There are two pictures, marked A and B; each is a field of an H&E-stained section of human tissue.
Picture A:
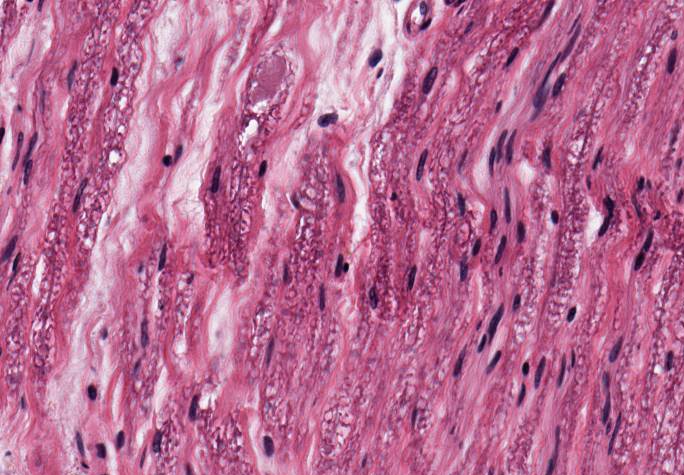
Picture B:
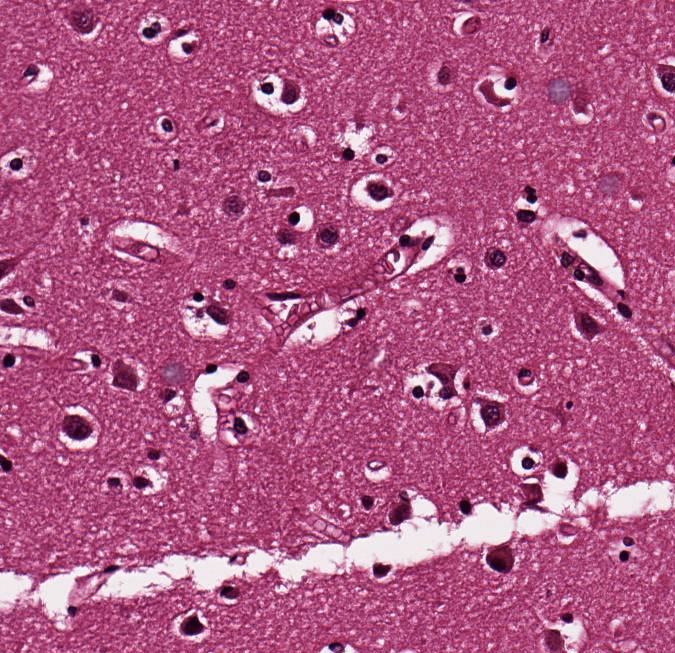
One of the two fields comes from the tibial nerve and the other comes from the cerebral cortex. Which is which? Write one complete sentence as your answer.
Picture A comes from the tibial nerve; picture B comes from the cerebral cortex.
